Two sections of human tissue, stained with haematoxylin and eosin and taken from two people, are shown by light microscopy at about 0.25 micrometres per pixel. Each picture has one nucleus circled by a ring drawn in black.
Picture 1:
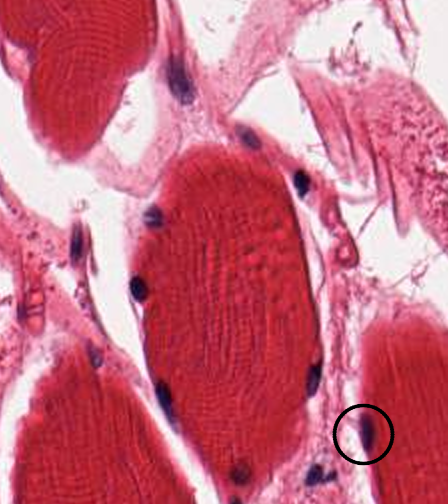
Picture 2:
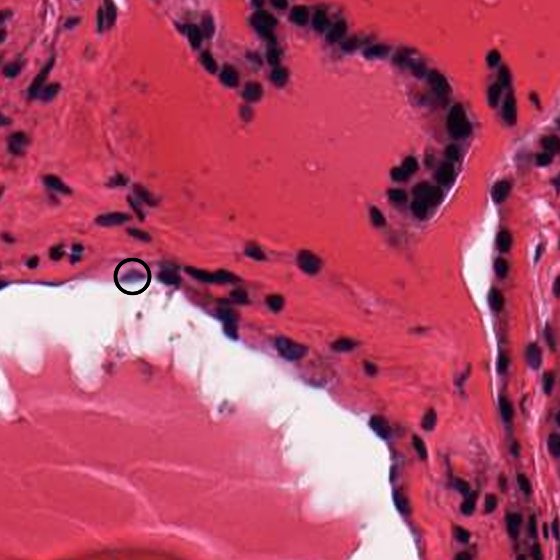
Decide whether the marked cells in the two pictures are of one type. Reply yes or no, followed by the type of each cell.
No, the first is a skeletal muscle fibre and the second a thyroid follicular cell.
